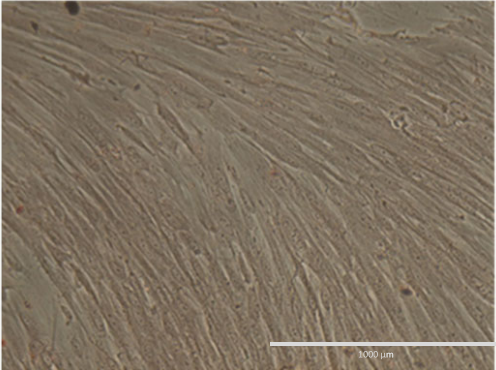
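A confluent sheet of cultured cells is seen at low magnification against a greyish-brown background. The cells are long, slender and spindle-shaped and lie closely packed and roughly parallel, sweeping in broad curved streams across the field. No distinct blue-stained matrix is apparent.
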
